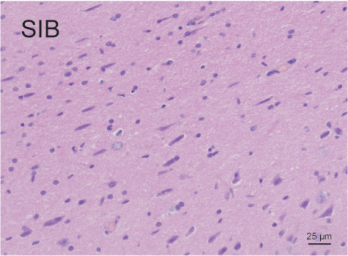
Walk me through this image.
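This is brain parenchyma stained pink with many purple nuclei, among them numerous microglial cells. The pink, finely fibrillar neuropil fills the field evenly. Scattered throughout it are many dark purple nuclei, a large share of which are elongated and rod-like, narrow and drawn out, lying in varied directions but often roughly aligned. Smaller round or oval nuclei lie between them. Cytoplasm around the elongated nuclei is scant and hard to see. The cells are dense and spread diffusely over the whole field rather than gathered in one cluster, giving a crowded appearance of the tissue.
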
